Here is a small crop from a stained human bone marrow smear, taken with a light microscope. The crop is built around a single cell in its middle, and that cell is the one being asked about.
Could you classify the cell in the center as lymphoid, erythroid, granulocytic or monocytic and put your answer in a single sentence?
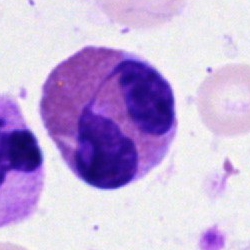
The cell situated centrally in the crop is of the granulocytic lineage.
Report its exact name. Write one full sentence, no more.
On this slide crop, the central cell is an eosinophil.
